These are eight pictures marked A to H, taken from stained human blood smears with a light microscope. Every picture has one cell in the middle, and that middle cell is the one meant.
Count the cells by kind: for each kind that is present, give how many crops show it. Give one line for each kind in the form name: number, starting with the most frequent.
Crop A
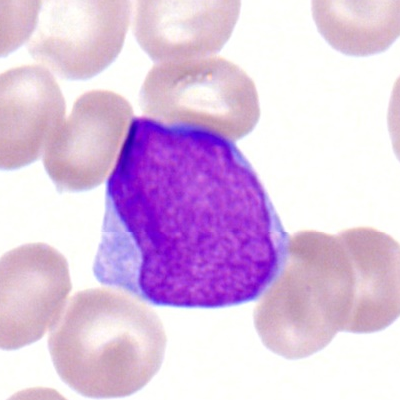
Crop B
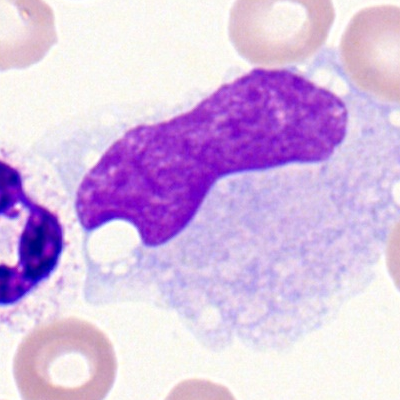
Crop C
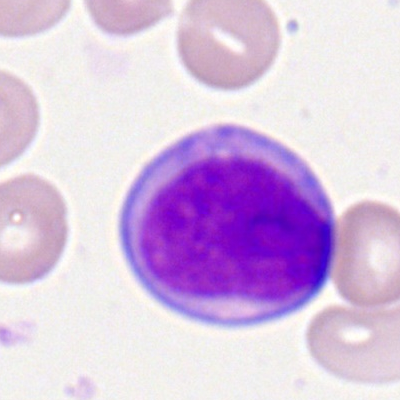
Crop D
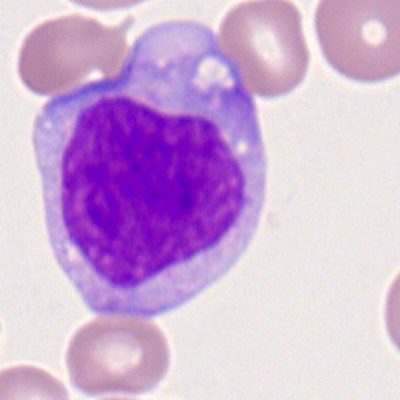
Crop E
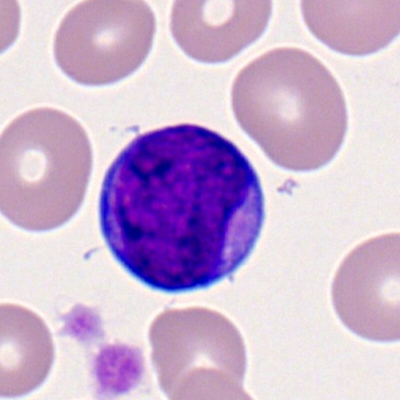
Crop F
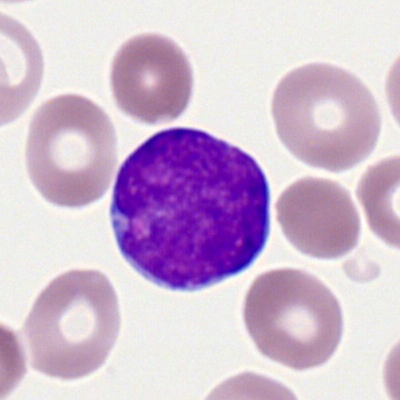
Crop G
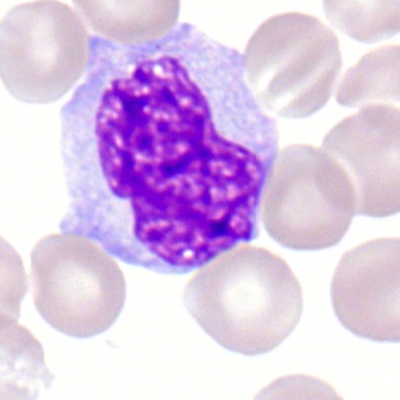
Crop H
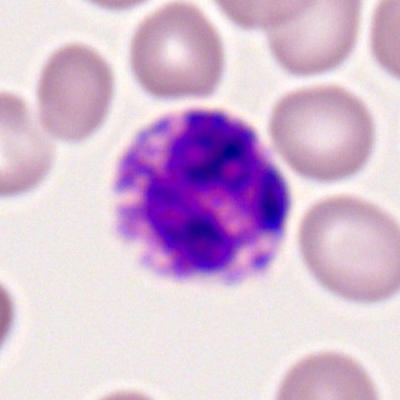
myeloblast: 4
monocyte: 3
basophil: 1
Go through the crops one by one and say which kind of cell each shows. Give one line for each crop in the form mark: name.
A: myeloblast
B: monocyte
C: myeloblast
D: monocyte
E: myeloblast
F: myeloblast
G: monocyte
H: basophil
